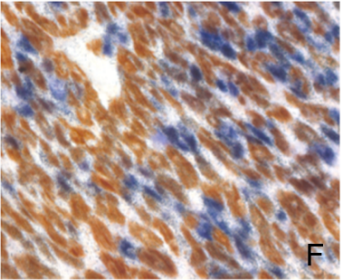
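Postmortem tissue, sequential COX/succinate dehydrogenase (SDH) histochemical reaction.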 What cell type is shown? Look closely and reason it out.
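Most cells brown, scattered cells blue. On this evidence: cardiomyocytes.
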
